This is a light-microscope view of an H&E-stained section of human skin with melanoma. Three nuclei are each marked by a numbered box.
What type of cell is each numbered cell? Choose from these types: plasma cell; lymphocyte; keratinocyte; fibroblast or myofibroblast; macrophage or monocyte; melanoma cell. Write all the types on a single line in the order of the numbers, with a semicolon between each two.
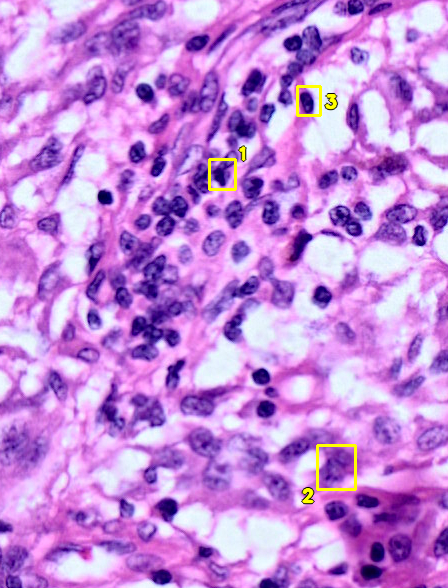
lymphocyte; melanoma cell; lymphocyte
